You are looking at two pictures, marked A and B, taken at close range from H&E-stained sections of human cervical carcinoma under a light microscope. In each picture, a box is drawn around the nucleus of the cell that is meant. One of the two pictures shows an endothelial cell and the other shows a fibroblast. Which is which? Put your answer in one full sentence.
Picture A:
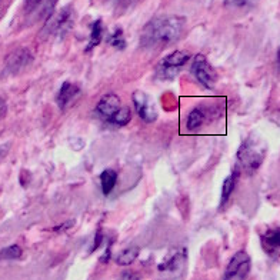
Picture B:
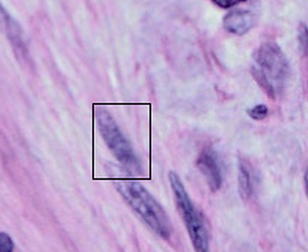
It is picture A that shows an endothelial cell, and picture B that shows a fibroblast.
